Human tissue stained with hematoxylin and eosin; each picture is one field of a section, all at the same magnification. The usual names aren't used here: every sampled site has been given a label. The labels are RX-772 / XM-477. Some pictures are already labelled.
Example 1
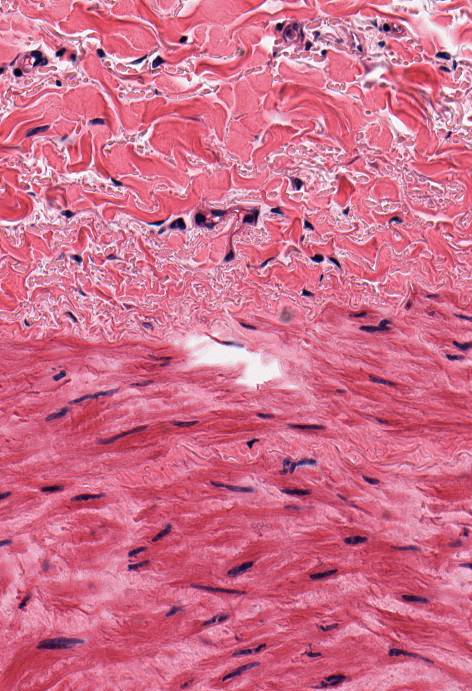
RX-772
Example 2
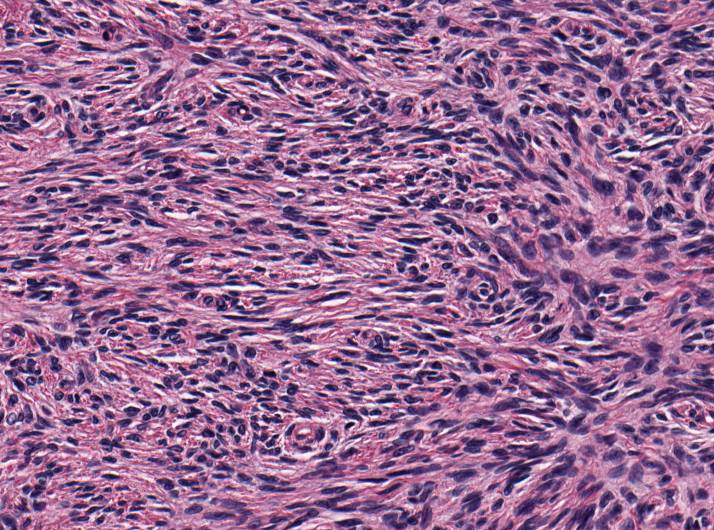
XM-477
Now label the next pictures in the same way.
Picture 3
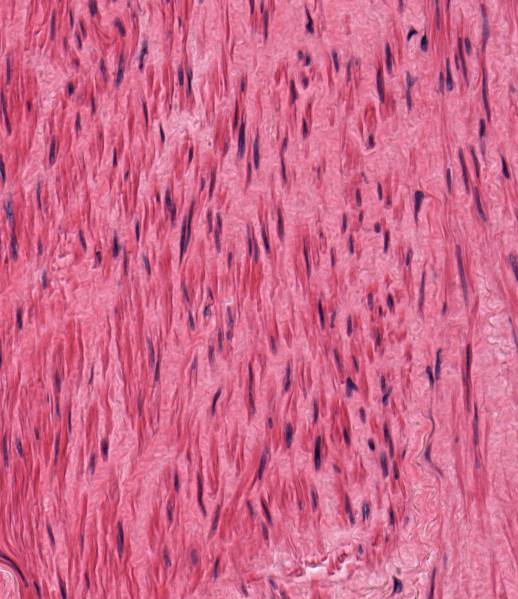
RX-772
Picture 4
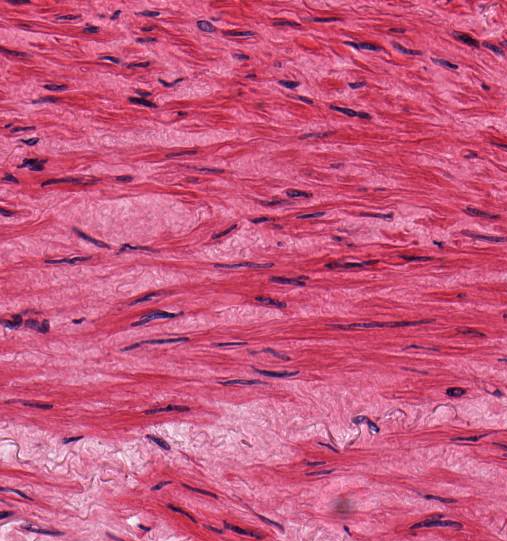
RX-772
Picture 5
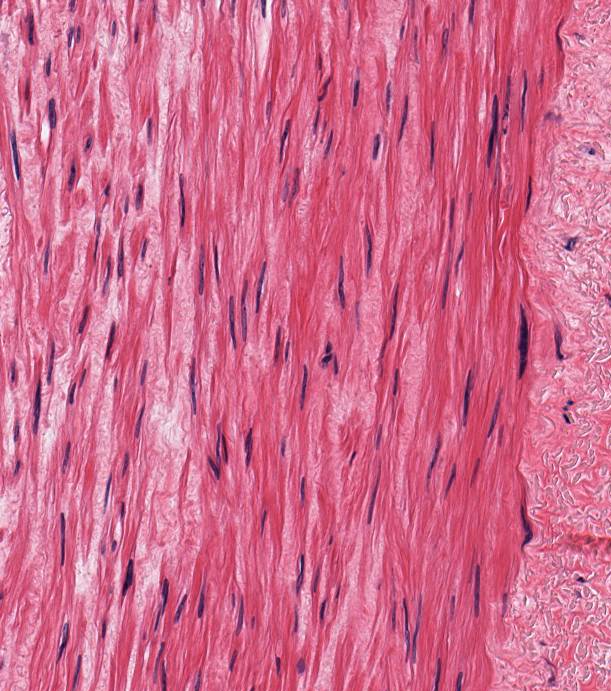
RX-772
